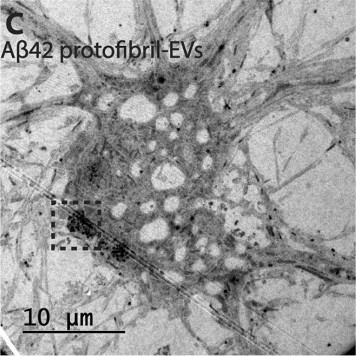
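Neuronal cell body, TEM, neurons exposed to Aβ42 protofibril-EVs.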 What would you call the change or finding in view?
Massive vacuole formation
